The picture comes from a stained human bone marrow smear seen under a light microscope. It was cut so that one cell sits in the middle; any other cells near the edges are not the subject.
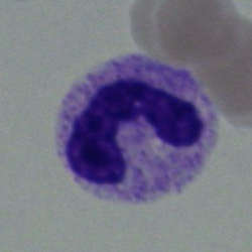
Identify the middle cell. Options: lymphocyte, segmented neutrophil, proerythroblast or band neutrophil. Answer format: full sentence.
The cell in the middle of the field of view is a band neutrophil.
